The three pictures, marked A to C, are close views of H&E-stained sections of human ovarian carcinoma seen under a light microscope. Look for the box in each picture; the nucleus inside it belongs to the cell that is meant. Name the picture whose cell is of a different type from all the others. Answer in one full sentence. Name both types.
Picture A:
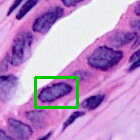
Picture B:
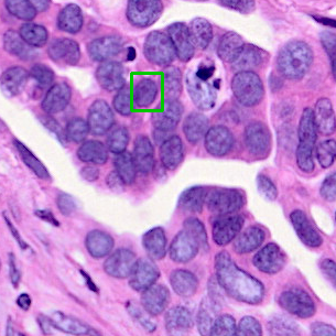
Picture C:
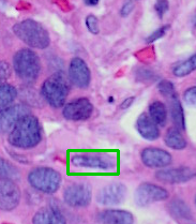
Picture C is the odd one out: it shows a fibroblast, while the others show carcinoma cells.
